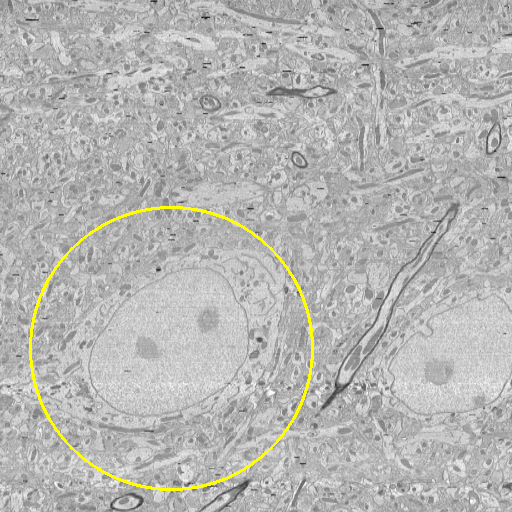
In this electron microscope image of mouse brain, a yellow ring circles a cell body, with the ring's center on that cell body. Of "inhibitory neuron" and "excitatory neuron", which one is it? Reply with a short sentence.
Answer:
It is an excitatory neuron at the center of the ring.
